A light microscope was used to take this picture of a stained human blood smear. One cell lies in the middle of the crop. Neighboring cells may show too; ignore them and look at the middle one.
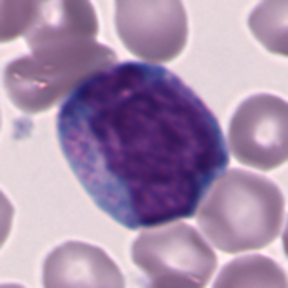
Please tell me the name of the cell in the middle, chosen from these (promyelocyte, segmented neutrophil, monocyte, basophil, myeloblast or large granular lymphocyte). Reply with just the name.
promyelocyte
